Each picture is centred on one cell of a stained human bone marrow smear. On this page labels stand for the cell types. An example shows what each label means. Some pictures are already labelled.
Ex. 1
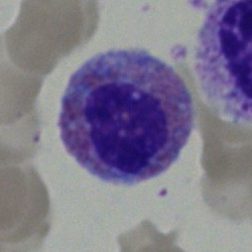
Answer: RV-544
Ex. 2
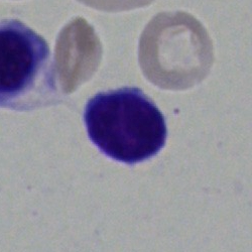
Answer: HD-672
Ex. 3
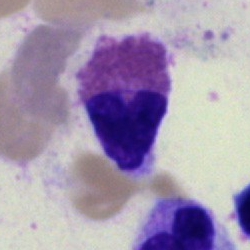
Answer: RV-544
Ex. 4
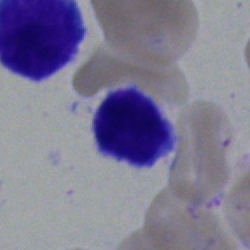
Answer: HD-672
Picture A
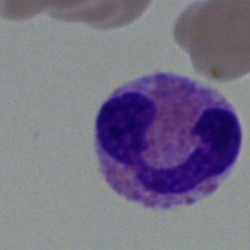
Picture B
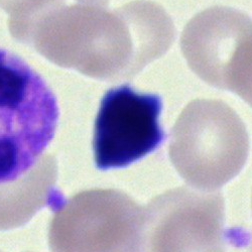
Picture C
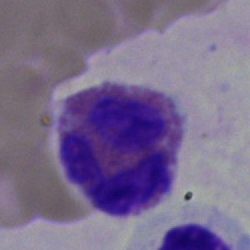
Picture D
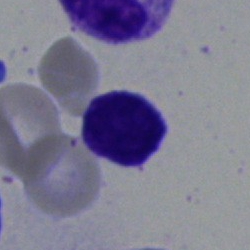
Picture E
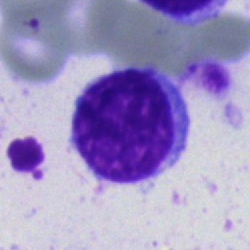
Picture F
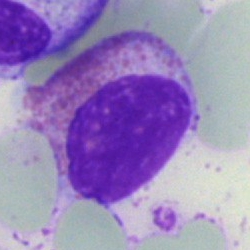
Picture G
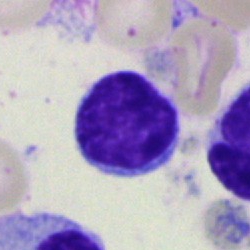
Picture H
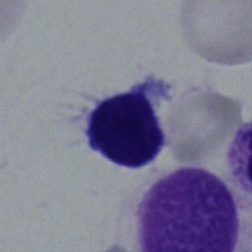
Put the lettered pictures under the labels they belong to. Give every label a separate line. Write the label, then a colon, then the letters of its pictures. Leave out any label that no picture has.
RV-544: A, C, F
HD-672: B, D, E, G, H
